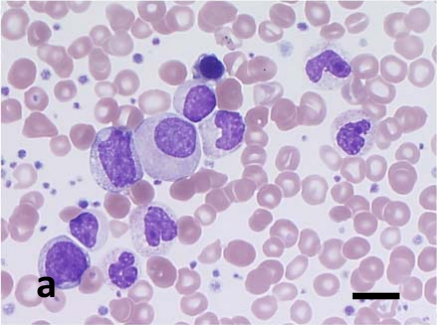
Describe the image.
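This is a peripheral blood smear with many white cells of the granulocytic line and a great many platelets among the red cells. Several nucleated cells lie close together; some have round or indented nuclei with grey-blue cytoplasm and look less mature than the neighbouring segmented granulocytes. One small cell with a dark round nucleus and scant cytoplasm sits at the top of the cluster. Small purple platelets are scattered densely across the background between the pink red cells. The abundance of white cells and platelets in one field is unusual for normal blood.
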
